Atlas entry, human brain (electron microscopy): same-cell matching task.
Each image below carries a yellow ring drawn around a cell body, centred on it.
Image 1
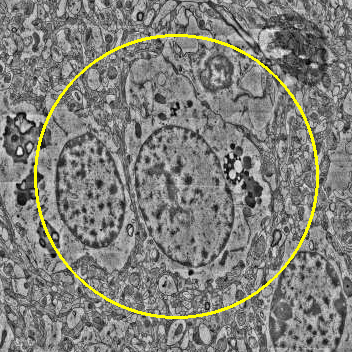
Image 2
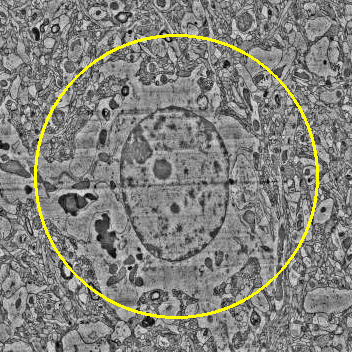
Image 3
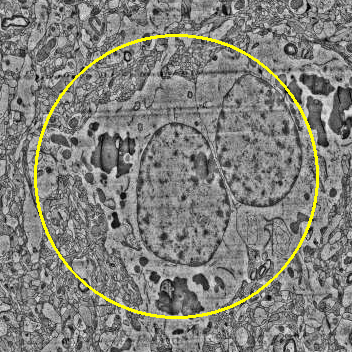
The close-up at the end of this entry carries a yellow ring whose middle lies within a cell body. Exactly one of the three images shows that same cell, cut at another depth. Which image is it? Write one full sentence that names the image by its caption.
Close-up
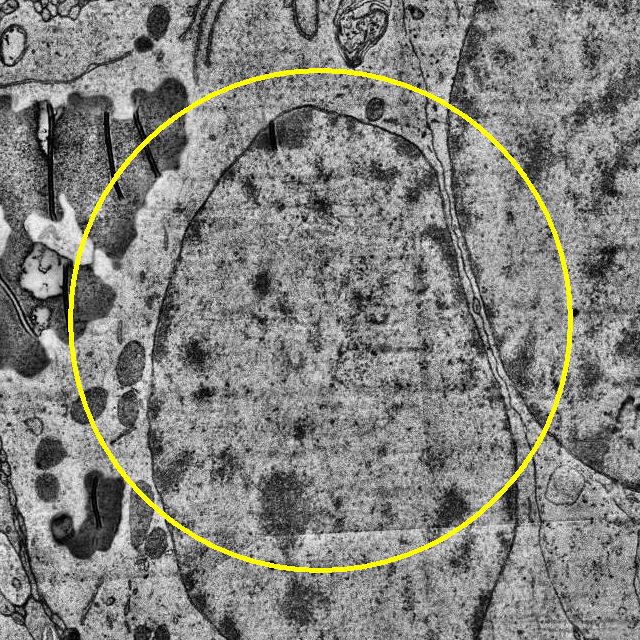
The close-up zooms in on the cell circled in Image 3.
